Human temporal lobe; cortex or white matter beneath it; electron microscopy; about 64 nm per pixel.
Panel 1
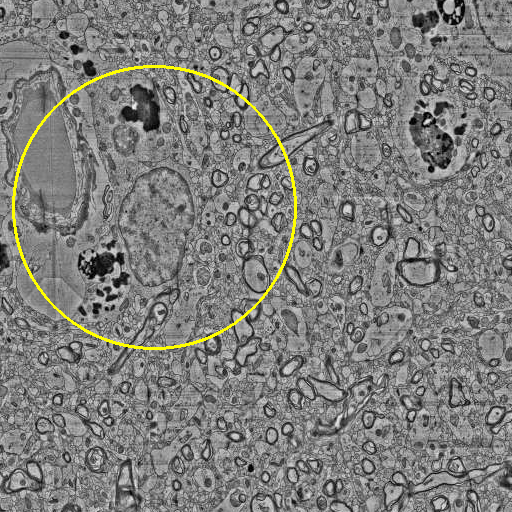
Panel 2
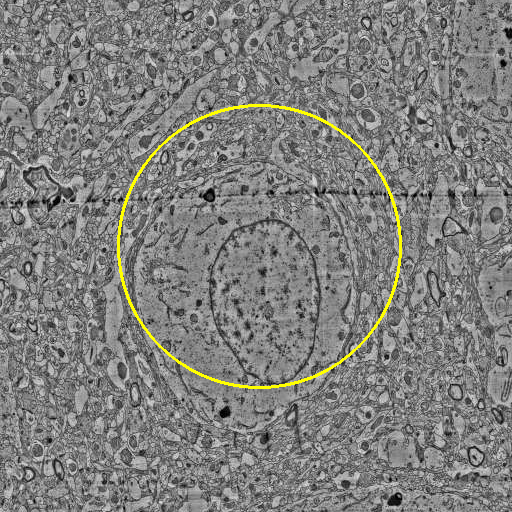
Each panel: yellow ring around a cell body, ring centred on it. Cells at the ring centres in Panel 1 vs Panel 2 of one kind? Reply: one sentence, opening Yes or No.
No, Panel 1 and Panel 2 have cells of two kinds at the ring centres.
